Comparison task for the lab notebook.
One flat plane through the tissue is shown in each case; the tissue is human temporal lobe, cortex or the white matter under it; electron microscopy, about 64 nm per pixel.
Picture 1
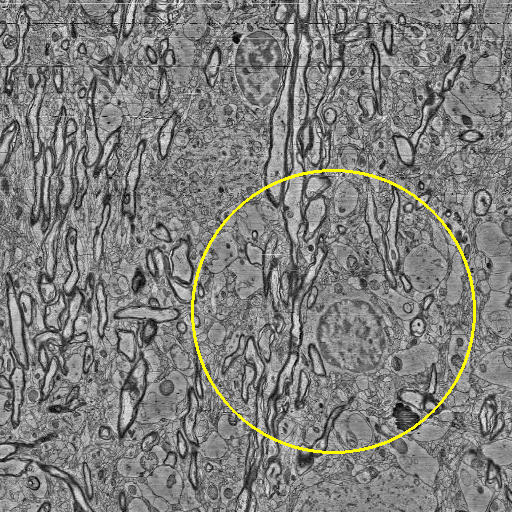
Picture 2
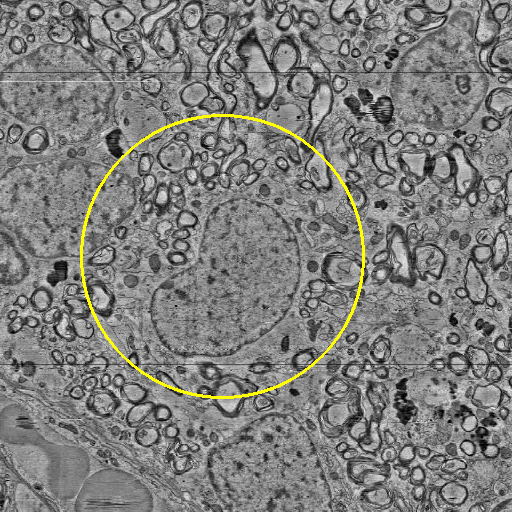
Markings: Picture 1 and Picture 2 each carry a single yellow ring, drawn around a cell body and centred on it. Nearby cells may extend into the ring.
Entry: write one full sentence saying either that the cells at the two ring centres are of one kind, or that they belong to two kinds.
The cells sitting at the ring centres in Picture 1 and Picture 2 belong to two kinds.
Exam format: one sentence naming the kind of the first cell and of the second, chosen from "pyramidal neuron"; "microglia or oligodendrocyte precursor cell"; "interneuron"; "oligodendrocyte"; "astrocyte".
The first picture's cell is an oligodendrocyte, and the second picture's cell is an astrocyte.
